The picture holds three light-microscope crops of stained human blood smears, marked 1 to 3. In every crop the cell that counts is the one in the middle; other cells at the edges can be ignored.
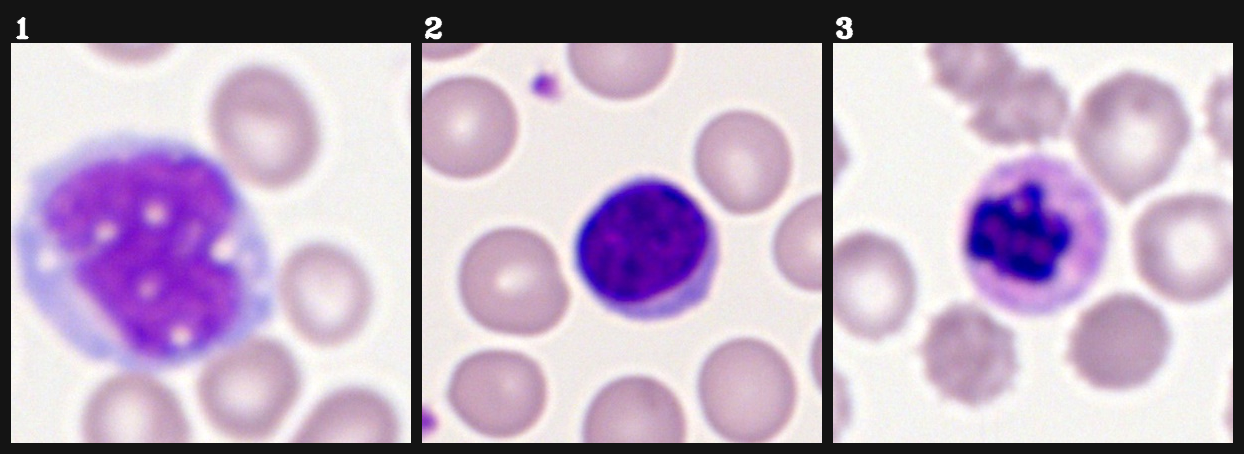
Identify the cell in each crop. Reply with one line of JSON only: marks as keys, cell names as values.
{"1": "monocyte", "2": "lymphocyte", "3": "segmented neutrophil"}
